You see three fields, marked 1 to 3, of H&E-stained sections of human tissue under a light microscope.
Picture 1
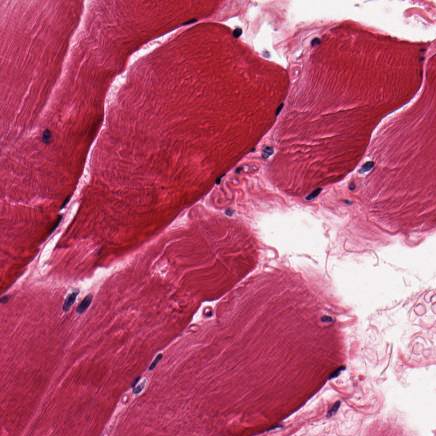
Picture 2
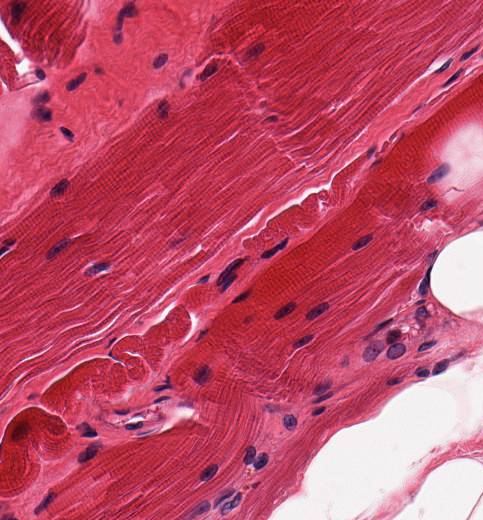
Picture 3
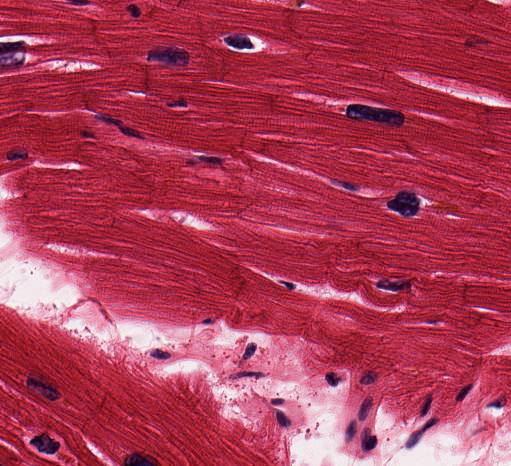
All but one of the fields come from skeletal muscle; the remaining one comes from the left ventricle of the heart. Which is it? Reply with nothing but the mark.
3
